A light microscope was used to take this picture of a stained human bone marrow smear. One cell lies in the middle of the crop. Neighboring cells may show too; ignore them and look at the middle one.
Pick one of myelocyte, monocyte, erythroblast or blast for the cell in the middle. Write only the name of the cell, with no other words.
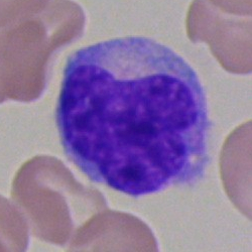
monocyte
